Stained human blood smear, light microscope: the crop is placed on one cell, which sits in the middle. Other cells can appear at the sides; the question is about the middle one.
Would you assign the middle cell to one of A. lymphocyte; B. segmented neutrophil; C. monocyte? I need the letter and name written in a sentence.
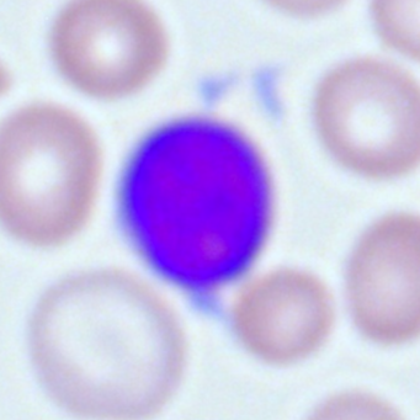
The middle cell of the crop is a lymphocyte; accordingly, option A is correct.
